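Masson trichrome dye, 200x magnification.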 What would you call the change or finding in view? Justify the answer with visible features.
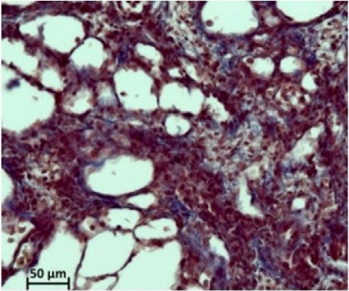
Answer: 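Large adjacent fields of fibrous tissue. Most of the field is dense cellular tissue with blue-tinged fibres.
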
